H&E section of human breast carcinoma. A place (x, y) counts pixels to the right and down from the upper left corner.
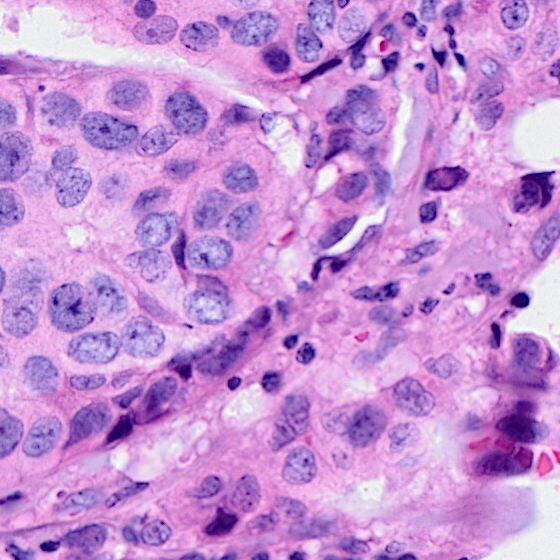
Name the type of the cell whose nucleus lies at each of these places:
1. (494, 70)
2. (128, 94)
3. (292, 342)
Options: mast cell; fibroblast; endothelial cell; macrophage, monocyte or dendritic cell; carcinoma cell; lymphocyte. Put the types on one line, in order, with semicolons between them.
endothelial cell; carcinoma cell; lymphocyte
